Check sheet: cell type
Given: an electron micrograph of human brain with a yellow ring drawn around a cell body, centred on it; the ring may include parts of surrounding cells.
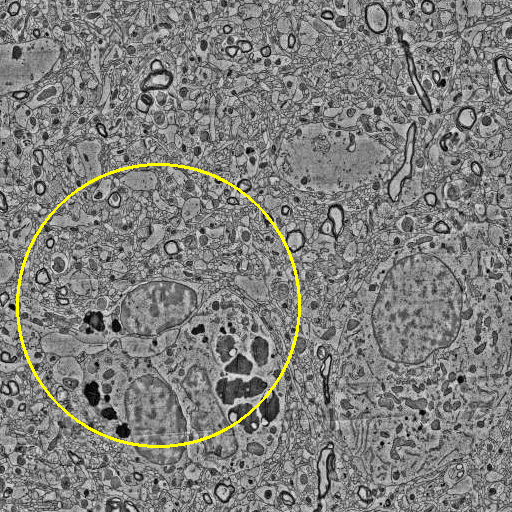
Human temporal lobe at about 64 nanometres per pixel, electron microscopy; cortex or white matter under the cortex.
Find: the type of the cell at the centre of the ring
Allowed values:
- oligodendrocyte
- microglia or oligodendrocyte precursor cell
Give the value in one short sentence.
Here the ringed cell is a microglial cell or oligodendrocyte precursor cell.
